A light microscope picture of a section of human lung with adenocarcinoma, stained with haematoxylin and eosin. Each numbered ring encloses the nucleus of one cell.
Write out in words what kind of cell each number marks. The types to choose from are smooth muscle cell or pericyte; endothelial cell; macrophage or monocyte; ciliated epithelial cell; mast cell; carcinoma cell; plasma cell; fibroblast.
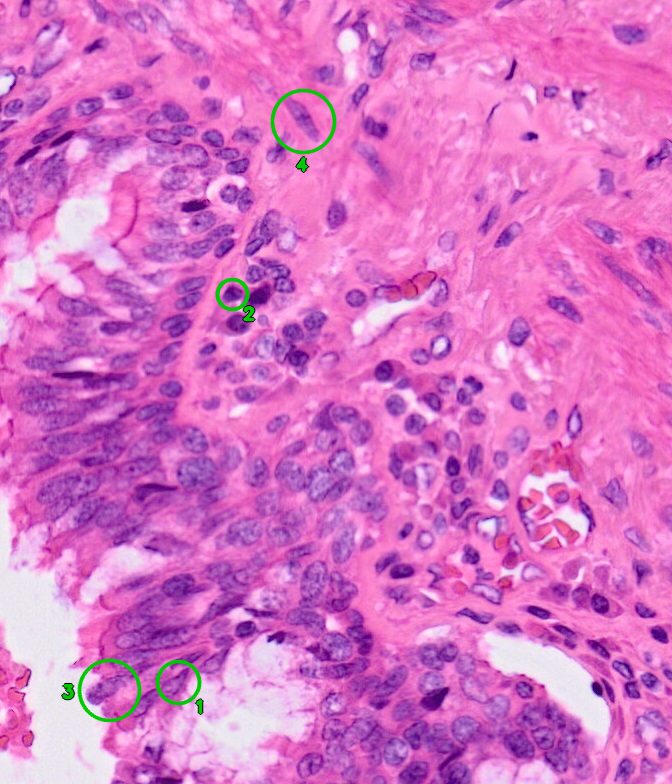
Cell 1 is a ciliated epithelial cell, cell 2 is a plasma cell, cell 3 is a ciliated epithelial cell and cell 4 is a smooth muscle cell or pericyte.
